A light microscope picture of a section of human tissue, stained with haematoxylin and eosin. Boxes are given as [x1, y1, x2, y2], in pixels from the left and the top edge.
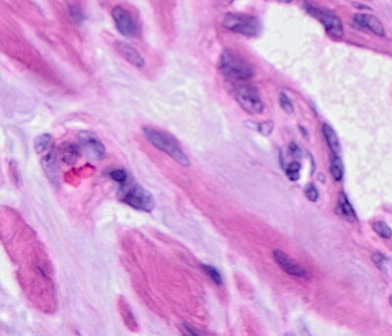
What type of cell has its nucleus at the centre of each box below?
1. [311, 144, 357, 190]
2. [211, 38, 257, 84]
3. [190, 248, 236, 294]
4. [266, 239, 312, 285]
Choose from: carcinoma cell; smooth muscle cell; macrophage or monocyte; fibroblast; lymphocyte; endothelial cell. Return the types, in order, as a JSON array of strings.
["endothelial cell", "endothelial cell", "smooth muscle cell", "smooth muscle cell"]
